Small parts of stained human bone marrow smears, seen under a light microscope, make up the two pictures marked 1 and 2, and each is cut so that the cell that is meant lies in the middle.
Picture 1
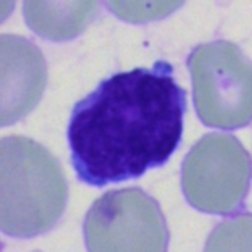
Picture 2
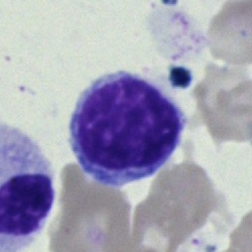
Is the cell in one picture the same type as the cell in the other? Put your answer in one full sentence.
Yes, they are the same type: both are lymphocytes.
